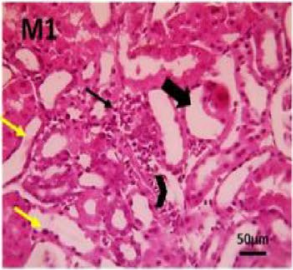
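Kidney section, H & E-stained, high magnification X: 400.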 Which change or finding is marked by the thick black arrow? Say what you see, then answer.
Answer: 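The thick arrow points at a tubule with a wide open lumen. The lining epithelium of that tubule is thin.
Hence: tubular dilation.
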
